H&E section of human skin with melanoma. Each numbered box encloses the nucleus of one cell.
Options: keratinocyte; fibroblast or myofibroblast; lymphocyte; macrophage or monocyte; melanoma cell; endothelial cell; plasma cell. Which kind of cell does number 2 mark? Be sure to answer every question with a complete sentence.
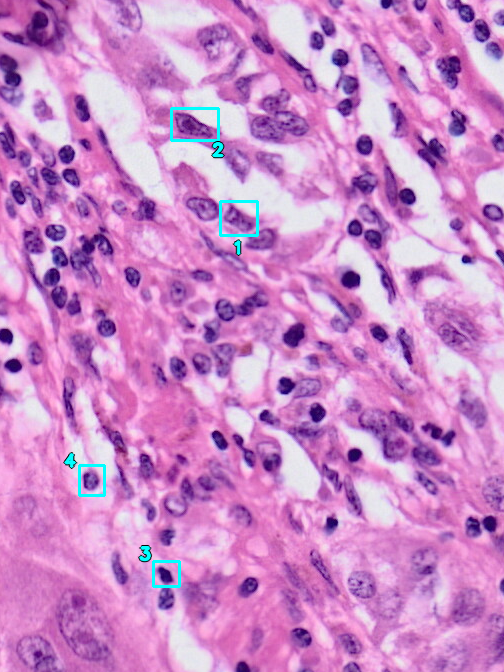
As for number 2, that cell is a melanoma cell.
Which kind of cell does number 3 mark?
Among the marked cells, number 3 is a lymphocyte.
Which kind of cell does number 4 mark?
The numbered cell 4 in this field is a lymphocyte.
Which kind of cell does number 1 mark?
In this section, number 1 marks a melanoma cell.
